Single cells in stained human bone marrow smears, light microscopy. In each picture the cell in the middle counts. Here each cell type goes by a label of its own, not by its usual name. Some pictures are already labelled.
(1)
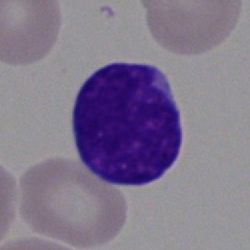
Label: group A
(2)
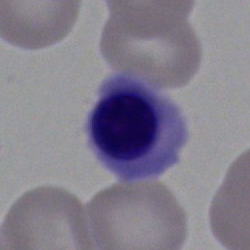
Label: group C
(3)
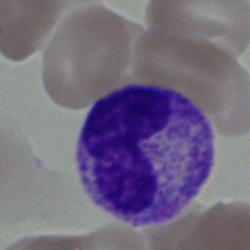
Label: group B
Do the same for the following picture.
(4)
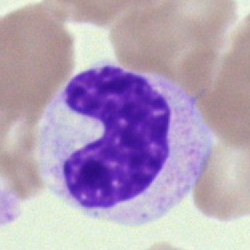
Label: group B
